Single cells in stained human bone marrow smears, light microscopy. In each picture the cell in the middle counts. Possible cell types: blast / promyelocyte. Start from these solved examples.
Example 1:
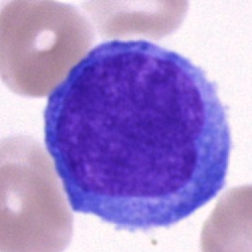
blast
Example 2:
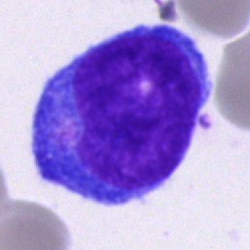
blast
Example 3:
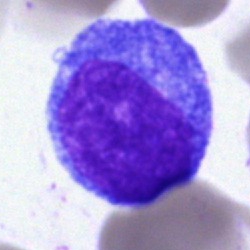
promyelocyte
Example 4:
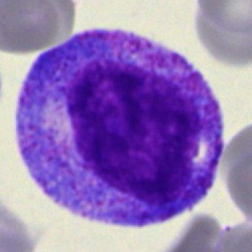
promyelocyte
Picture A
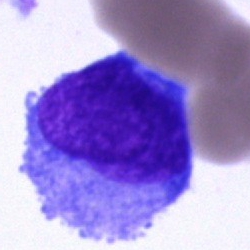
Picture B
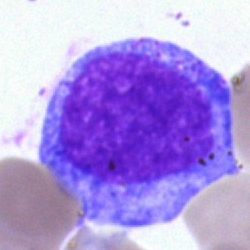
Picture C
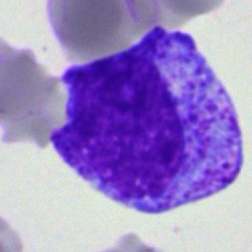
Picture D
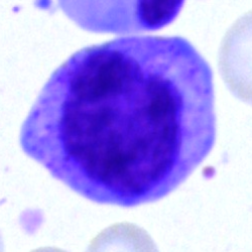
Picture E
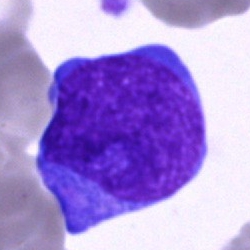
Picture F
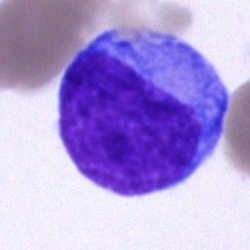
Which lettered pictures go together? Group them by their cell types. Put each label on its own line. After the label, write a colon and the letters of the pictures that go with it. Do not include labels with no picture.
blast: A, E, F
promyelocyte: B, C, D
